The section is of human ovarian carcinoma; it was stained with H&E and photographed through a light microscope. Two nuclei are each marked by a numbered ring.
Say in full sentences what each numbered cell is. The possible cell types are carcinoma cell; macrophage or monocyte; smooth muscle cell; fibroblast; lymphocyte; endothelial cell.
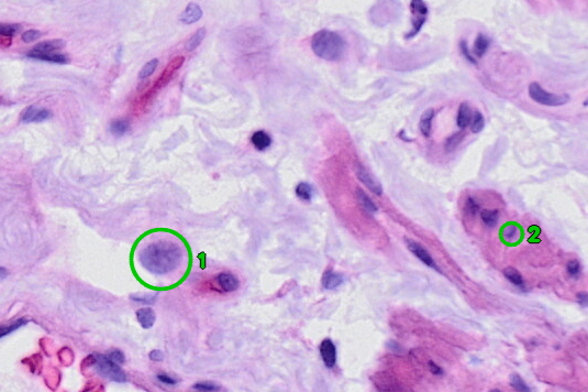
Cell 1 is an endothelial cell. Cell 2 is a smooth muscle cell.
